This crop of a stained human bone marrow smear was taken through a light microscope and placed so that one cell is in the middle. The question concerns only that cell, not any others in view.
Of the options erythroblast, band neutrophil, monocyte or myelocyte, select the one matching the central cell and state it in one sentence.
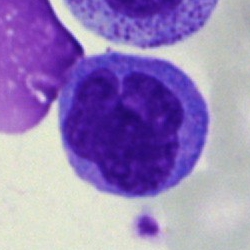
The middle cell in this particular crop is a monocyte.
